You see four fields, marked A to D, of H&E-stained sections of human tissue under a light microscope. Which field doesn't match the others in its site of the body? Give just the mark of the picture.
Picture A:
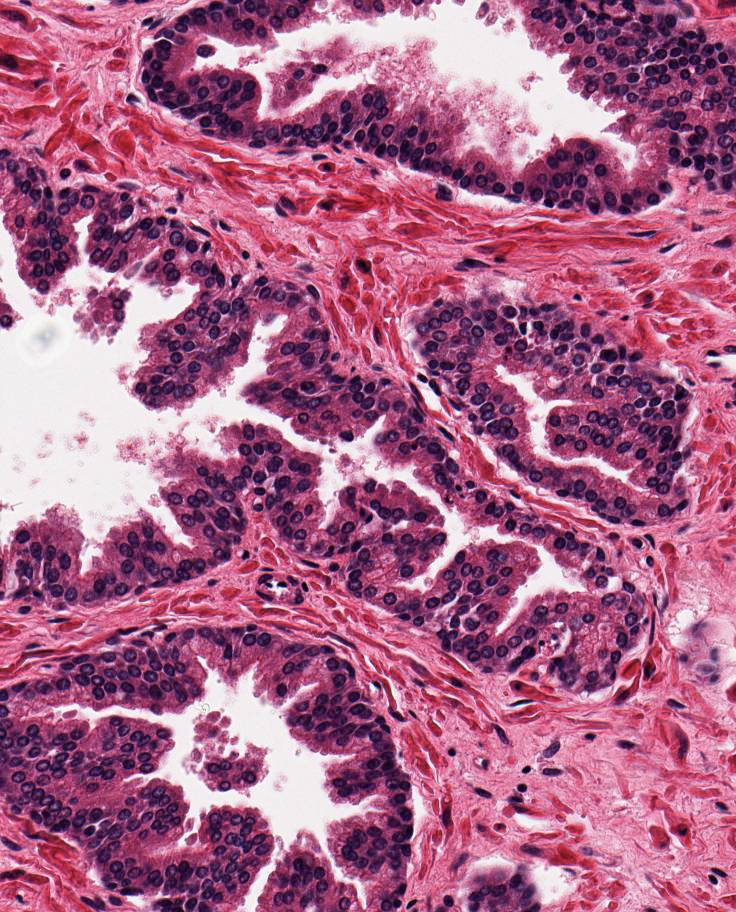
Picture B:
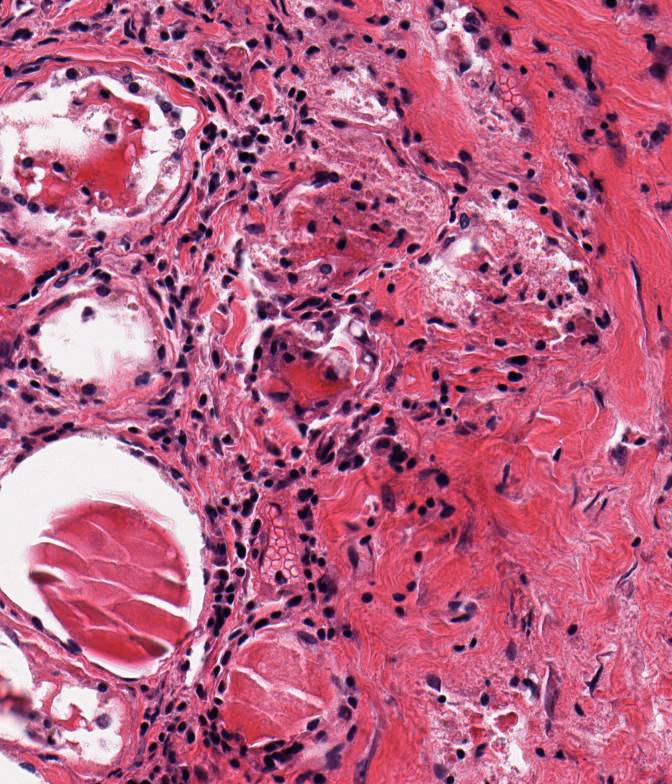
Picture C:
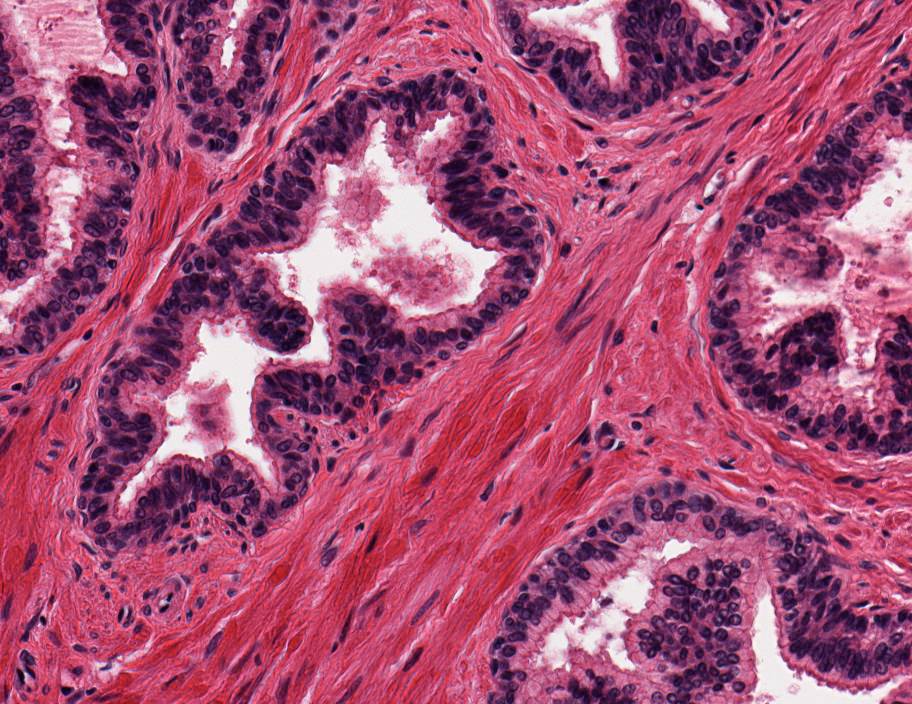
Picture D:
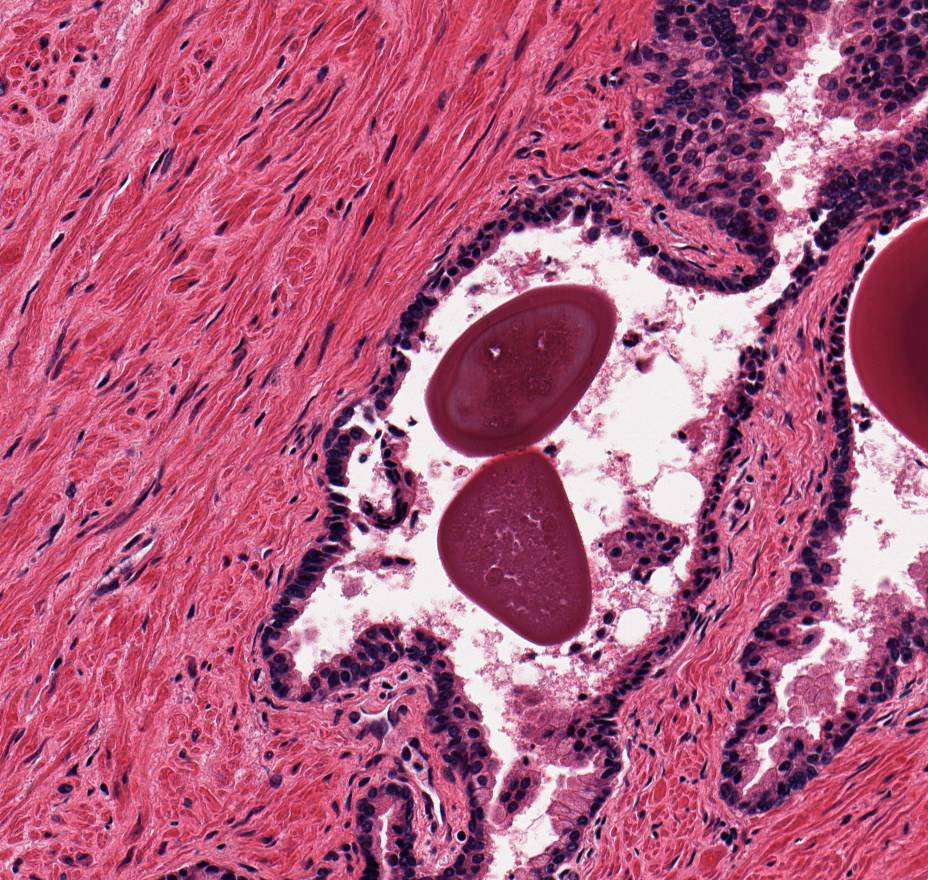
B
